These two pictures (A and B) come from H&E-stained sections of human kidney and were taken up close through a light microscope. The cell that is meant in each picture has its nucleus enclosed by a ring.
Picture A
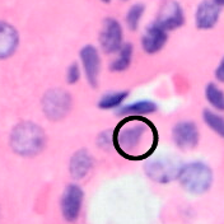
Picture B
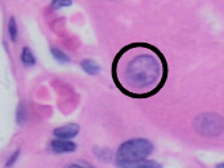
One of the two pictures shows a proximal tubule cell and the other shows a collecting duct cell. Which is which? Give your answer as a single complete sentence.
It is picture A that shows a collecting duct cell, and picture B that shows a proximal tubule cell.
